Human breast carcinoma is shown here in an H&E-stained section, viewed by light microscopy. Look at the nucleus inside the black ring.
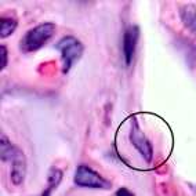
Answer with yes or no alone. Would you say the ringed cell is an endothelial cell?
yes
